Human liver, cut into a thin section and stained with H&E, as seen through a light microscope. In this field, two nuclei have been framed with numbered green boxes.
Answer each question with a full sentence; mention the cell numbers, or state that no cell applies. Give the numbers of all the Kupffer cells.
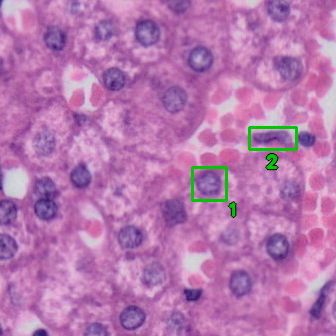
Cell 2 is a Kupffer cell; no further numbered cell is.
